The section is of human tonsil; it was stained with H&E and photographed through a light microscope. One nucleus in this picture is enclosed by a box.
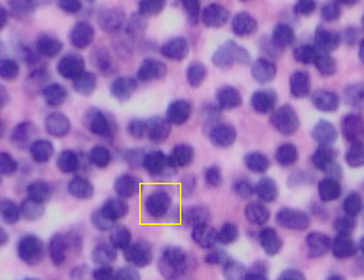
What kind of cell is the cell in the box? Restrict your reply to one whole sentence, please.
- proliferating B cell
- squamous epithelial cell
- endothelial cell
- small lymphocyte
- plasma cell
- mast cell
In this tissue section, the cell in the box is to be classed as a small lymphocyte.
